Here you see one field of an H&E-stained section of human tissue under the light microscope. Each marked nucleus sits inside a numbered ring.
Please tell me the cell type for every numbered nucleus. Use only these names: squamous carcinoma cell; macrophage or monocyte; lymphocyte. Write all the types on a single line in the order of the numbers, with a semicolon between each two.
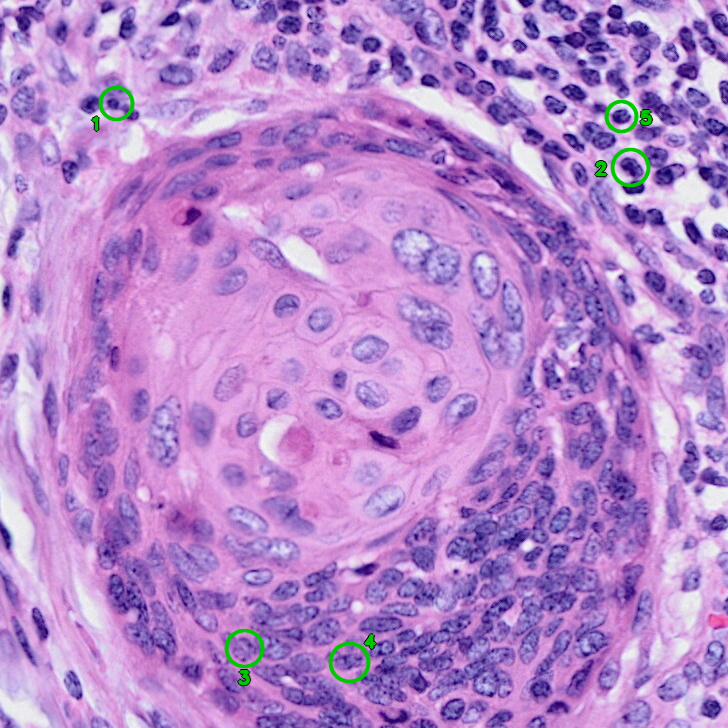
lymphocyte; lymphocyte; squamous carcinoma cell; squamous carcinoma cell; lymphocyte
